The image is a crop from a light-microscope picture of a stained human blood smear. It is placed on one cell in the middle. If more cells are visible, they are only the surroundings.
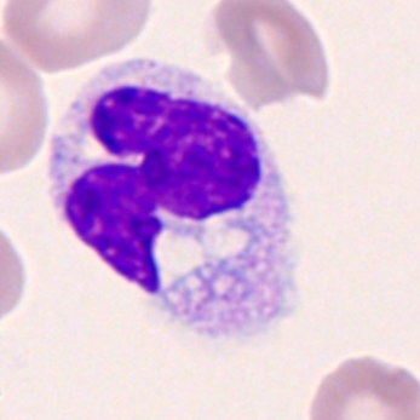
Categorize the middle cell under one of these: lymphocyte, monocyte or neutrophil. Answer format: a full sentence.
The cell that lies at the centre of the crop is a monocyte.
